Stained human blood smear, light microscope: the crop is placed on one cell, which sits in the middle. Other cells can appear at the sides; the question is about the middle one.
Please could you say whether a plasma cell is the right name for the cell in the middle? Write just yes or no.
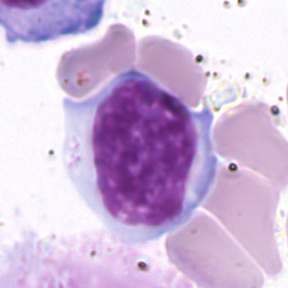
yes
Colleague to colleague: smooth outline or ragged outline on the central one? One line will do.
Its periphery is smooth, and no projections arise from it.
